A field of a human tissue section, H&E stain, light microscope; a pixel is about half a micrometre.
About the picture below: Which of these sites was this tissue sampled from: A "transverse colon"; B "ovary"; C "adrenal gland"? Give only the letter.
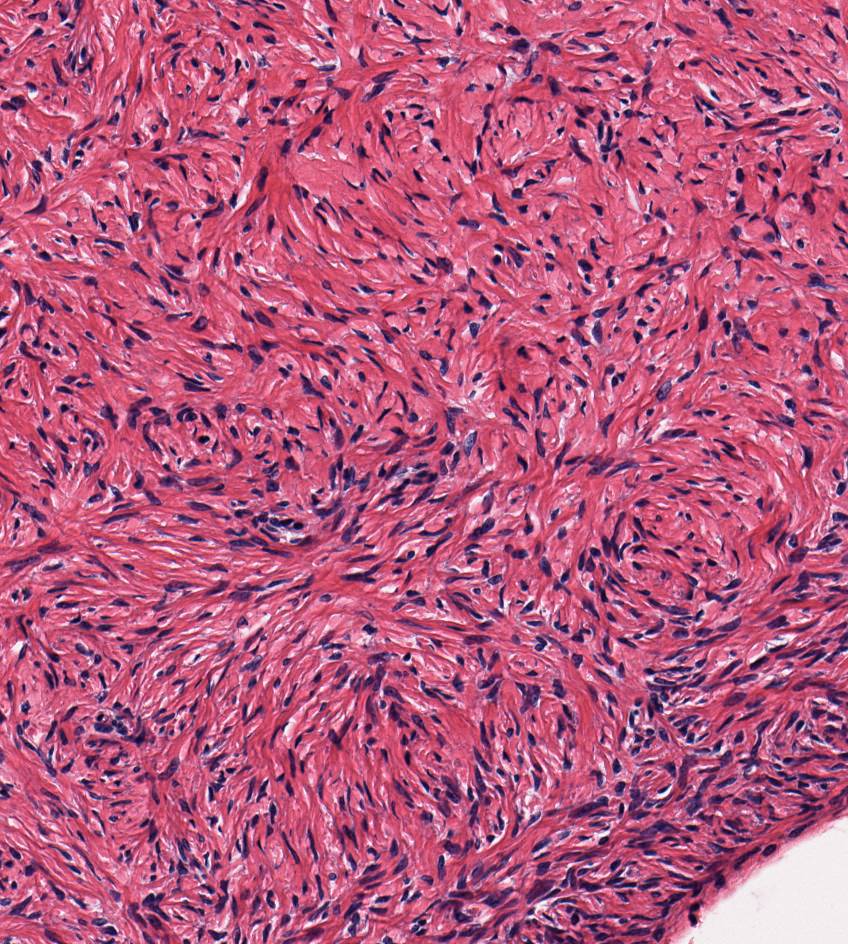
B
